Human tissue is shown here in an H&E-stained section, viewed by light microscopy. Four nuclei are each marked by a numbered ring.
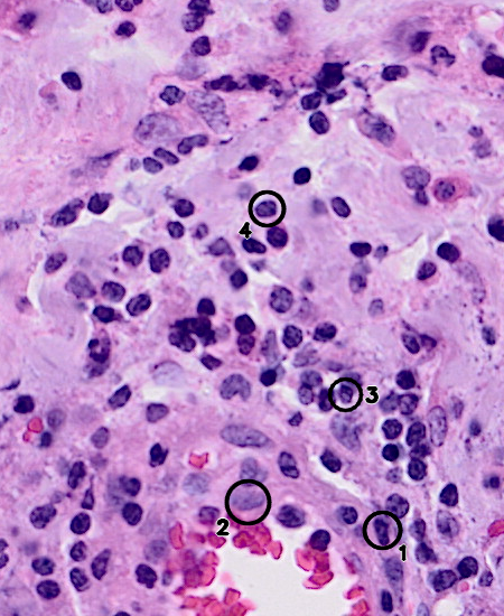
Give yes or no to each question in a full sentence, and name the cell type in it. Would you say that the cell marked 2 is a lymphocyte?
No, the cell at marker 2 is not a lymphocyte; it is an endothelial cell.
